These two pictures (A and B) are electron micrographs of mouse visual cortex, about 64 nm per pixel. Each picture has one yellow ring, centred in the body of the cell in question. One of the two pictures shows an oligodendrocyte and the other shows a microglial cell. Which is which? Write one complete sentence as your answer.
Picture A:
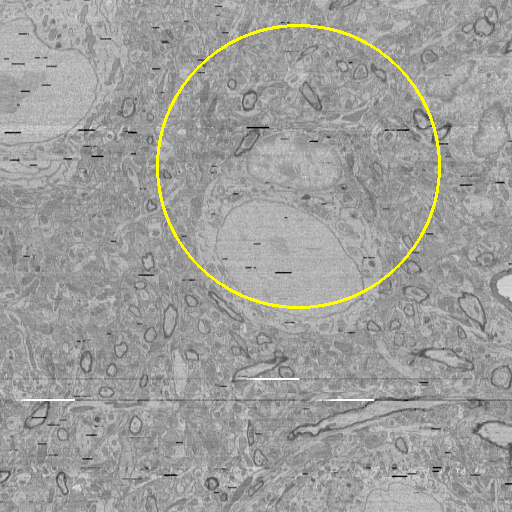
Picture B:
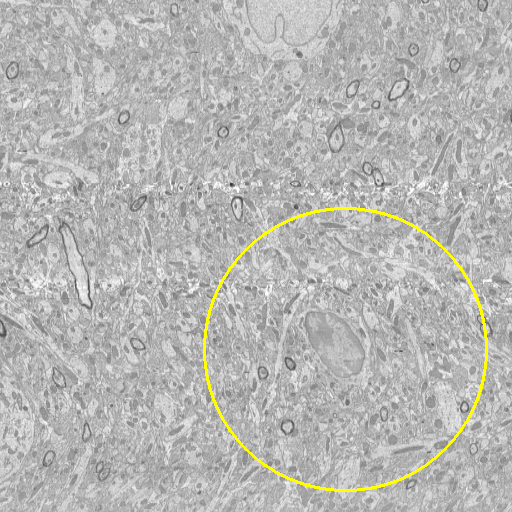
The cell in picture A is an oligodendrocyte, and the one in picture B is a microglial cell.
